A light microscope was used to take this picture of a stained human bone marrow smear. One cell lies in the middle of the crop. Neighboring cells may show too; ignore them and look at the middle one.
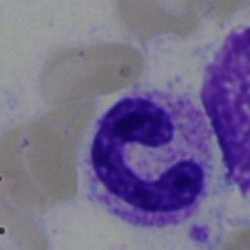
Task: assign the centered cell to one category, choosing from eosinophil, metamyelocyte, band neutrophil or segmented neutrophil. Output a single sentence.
The cell of interest, in the center, is a band neutrophil.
